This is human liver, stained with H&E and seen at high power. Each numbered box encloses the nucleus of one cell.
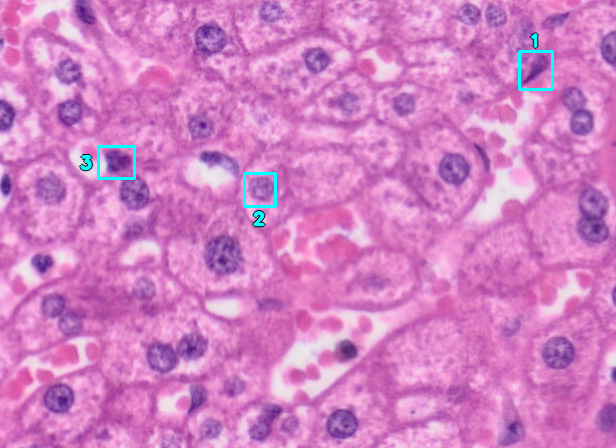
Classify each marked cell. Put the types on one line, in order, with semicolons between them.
fibroblast or stellate cell; hepatocyte; endothelial cell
